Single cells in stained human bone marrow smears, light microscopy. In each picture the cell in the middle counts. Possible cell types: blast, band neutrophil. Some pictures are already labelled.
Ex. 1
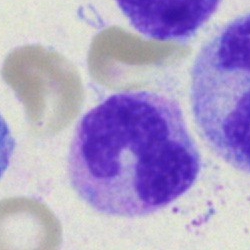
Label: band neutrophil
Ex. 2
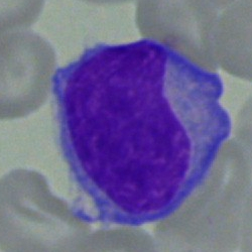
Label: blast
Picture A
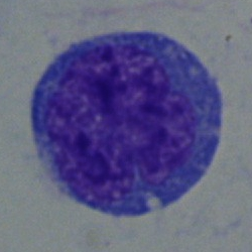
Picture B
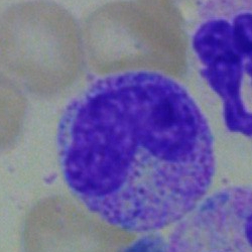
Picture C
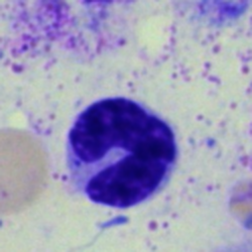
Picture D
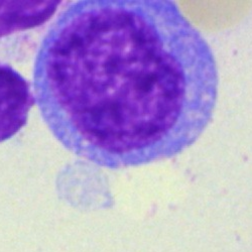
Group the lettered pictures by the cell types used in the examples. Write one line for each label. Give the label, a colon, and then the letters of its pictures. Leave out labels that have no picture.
blast: A, D
band neutrophil: B, C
